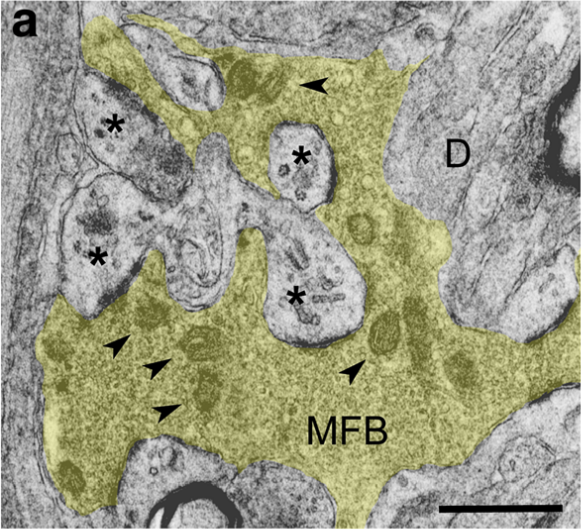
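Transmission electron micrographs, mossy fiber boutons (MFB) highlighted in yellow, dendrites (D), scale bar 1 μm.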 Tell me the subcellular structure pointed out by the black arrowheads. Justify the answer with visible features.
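Mitochondria. The arrowheads point to small oval organelles inside the yellow-shaded terminal. These organelles are bounded by a membrane and contain inner folds.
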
